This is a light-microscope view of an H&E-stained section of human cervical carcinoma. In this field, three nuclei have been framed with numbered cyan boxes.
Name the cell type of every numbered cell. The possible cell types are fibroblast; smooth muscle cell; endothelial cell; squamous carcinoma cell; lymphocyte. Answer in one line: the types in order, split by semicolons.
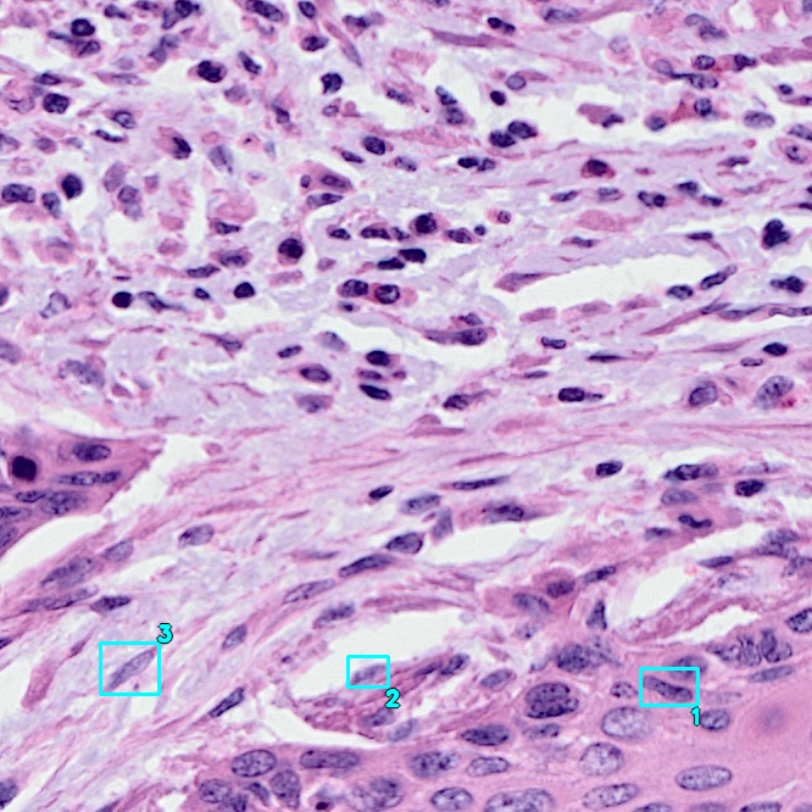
squamous carcinoma cell; fibroblast; fibroblast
